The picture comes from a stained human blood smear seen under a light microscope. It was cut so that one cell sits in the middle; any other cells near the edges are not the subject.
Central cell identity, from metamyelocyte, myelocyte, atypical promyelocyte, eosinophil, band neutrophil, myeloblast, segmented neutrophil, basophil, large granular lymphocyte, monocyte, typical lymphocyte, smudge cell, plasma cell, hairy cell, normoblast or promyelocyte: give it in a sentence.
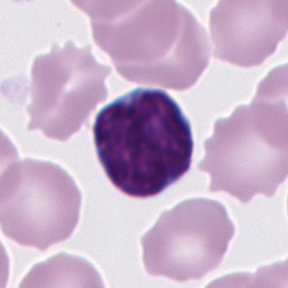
The cell at the heart of this crop is a typical lymphocyte.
